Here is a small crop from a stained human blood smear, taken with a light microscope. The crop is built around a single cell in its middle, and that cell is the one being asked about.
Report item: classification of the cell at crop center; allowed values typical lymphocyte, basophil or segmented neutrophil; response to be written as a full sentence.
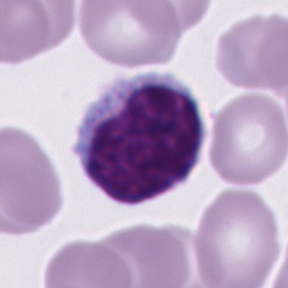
On this slide crop, the central cell is a typical lymphocyte.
